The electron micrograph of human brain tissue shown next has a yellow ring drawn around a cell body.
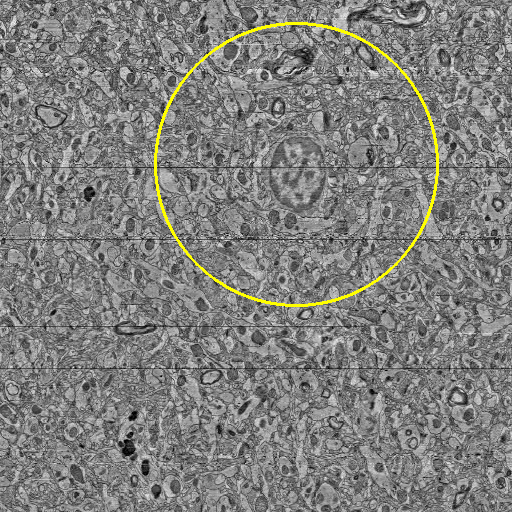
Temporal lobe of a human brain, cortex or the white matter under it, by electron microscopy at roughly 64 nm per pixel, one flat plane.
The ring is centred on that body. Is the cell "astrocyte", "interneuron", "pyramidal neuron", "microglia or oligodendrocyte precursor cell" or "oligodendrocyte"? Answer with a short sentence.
The cell in question is an oligodendrocyte.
